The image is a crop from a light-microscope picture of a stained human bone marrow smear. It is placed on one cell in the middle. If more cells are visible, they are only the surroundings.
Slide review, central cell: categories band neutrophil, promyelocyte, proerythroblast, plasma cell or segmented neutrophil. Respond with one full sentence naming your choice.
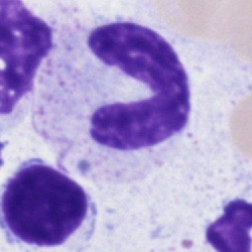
The cell marked by its central position in the crop is a band neutrophil.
